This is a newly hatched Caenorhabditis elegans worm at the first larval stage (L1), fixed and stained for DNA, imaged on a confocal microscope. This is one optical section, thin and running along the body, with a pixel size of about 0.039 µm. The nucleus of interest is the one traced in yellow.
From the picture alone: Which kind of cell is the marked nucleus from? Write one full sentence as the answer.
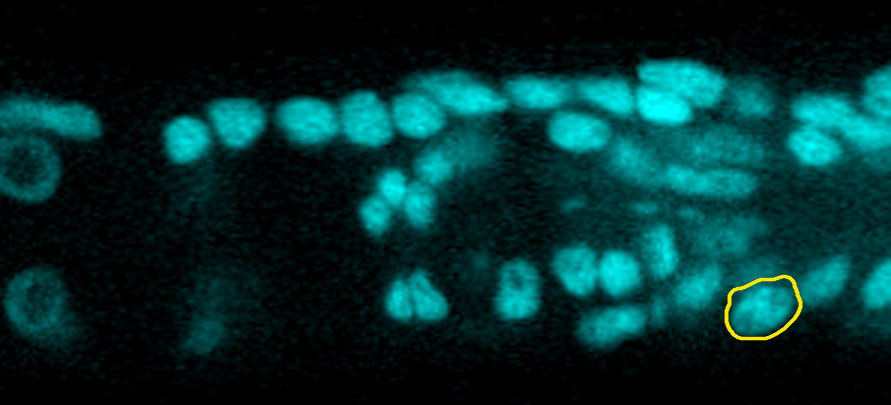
The marked cell is a body wall muscle cell.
